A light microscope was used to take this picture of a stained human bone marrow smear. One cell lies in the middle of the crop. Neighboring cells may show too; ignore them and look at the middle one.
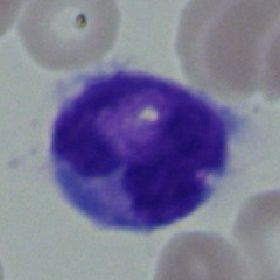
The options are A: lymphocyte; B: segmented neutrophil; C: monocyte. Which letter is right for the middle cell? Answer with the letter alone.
C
